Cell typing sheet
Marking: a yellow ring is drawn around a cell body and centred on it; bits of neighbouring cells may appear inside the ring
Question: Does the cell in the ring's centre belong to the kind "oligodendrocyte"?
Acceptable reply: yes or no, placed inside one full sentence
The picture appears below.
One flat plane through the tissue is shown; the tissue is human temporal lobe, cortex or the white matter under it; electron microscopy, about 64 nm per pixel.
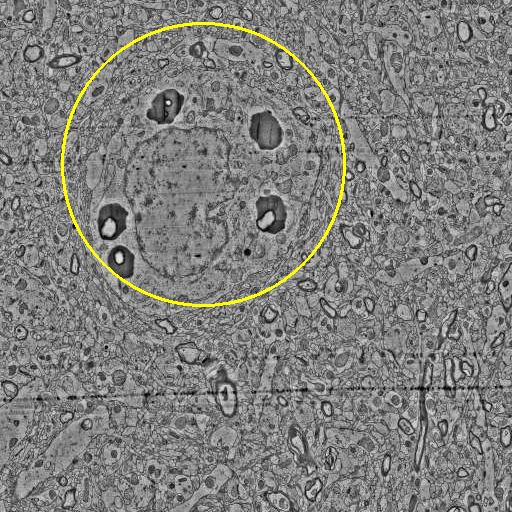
No, the cell at the centre of the ring belongs to a different kind.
